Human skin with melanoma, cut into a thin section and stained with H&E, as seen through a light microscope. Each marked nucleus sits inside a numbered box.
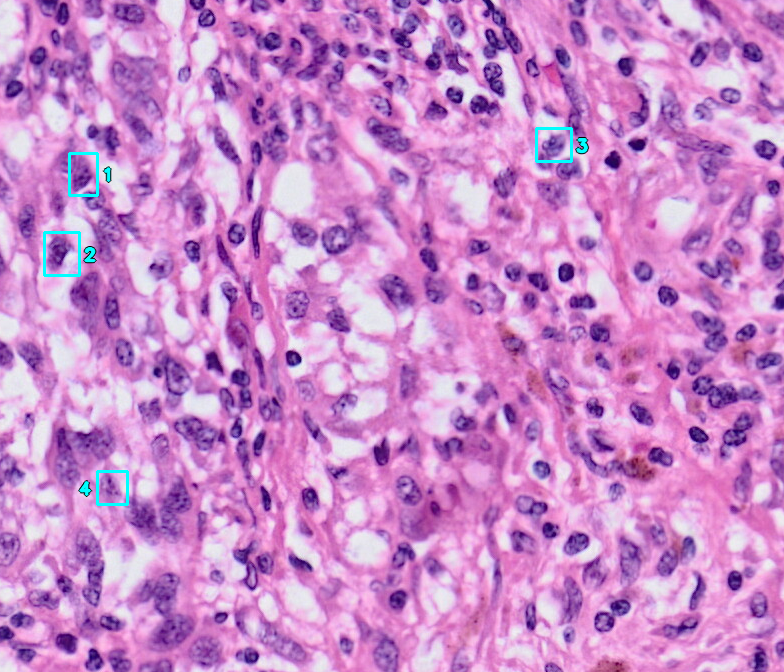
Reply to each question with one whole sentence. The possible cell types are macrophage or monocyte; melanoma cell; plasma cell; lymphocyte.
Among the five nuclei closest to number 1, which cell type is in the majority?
Lymphocytes account for more than half of the five nuclei nearest to number 1.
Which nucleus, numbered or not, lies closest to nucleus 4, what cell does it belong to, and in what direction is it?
Just below and to the right of nucleus 4 lies the nearest nucleus, which belongs to a melanoma cell.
